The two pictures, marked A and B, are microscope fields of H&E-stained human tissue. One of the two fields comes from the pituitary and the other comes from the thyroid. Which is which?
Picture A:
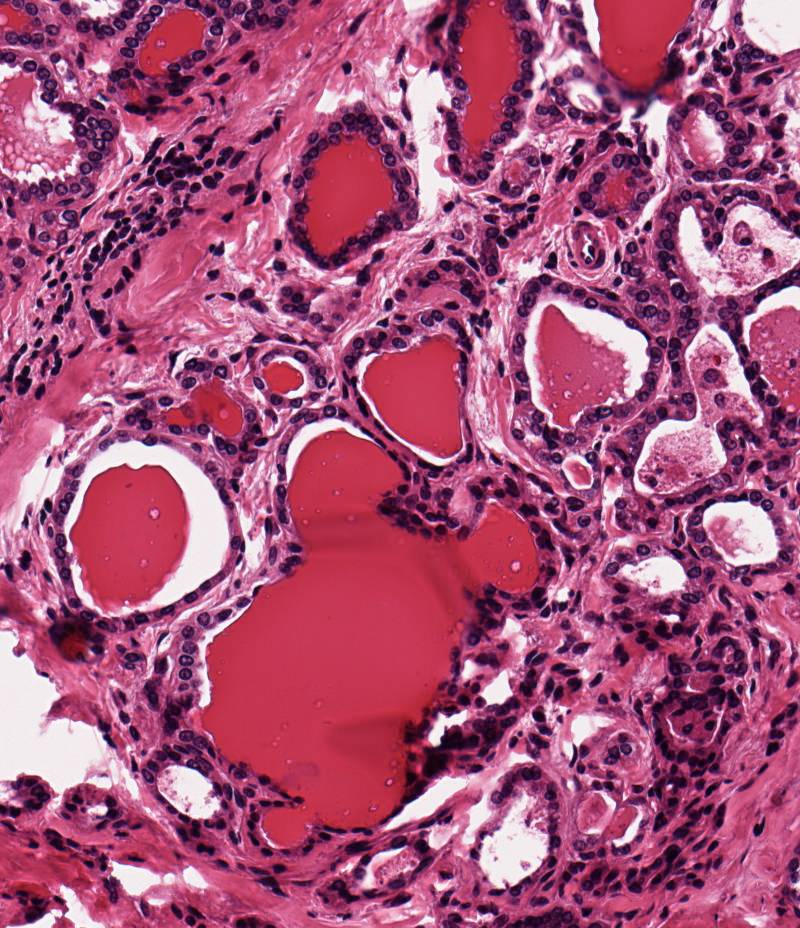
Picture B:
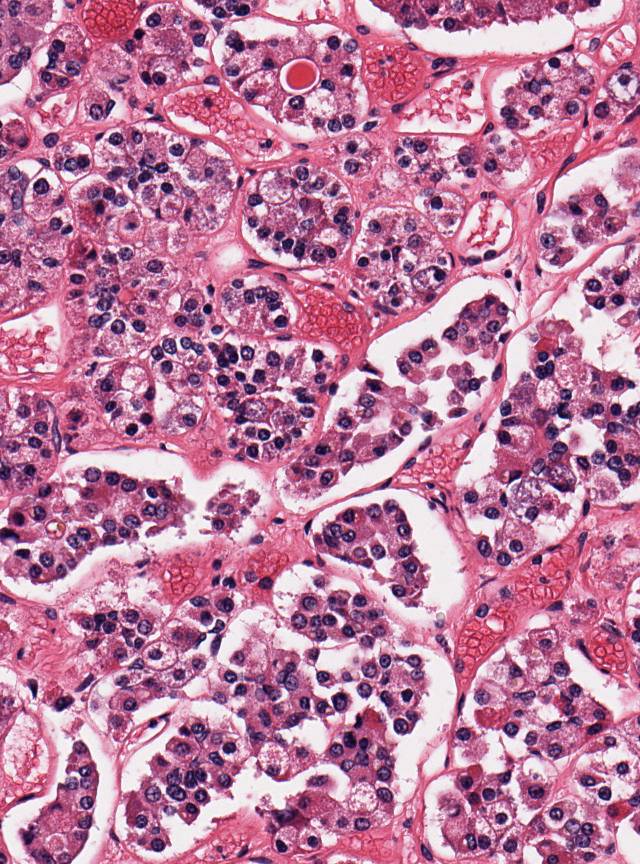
A: thyroid
B: pituitary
